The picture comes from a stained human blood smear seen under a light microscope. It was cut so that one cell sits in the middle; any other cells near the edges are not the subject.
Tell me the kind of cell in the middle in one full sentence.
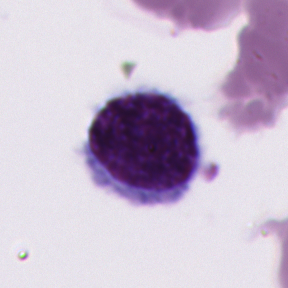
In the central position of this crop, the cell is a hairy cell.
